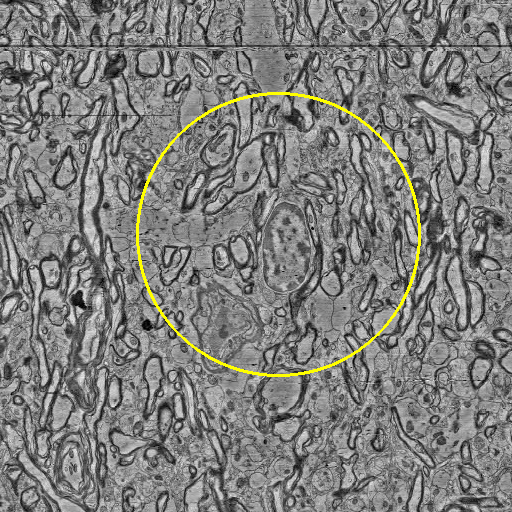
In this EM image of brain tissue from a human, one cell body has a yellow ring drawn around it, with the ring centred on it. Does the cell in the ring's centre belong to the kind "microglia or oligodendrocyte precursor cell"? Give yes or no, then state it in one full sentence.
Yes, in the picture, the cell centred in the yellow ring belongs to that kind.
